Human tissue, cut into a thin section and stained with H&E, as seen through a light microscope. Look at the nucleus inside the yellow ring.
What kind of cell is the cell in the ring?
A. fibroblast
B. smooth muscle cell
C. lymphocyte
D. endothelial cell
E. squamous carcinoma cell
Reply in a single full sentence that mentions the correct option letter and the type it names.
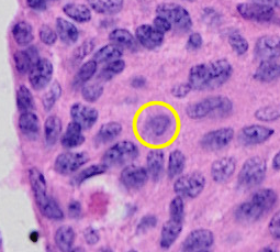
In the section, the cell in the ring is a squamous carcinoma cell, and option E is correct accordingly.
